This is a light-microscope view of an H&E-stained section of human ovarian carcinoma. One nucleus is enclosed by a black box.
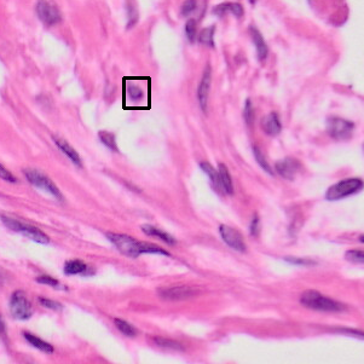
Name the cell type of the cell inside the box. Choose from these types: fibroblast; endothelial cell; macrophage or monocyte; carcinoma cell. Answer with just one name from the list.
fibroblast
